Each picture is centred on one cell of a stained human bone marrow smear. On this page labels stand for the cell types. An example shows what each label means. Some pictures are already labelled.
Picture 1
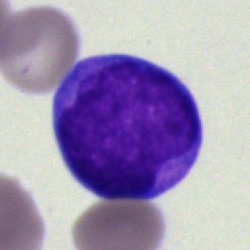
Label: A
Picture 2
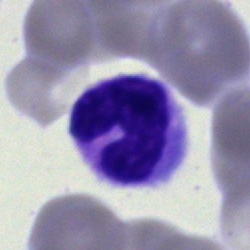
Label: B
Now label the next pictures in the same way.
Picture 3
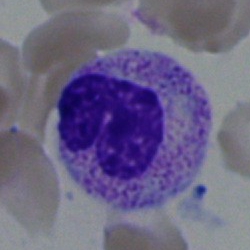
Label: B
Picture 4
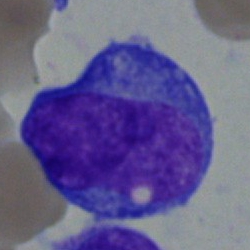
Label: A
